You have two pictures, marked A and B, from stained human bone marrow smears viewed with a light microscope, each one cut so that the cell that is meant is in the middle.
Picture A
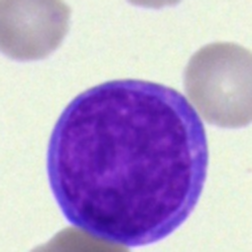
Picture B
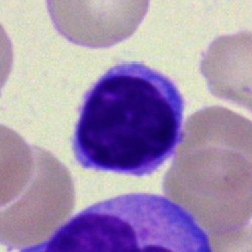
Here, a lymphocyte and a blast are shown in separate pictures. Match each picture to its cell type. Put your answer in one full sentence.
In picture A the cell is a blast; in picture B, a lymphocyte.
